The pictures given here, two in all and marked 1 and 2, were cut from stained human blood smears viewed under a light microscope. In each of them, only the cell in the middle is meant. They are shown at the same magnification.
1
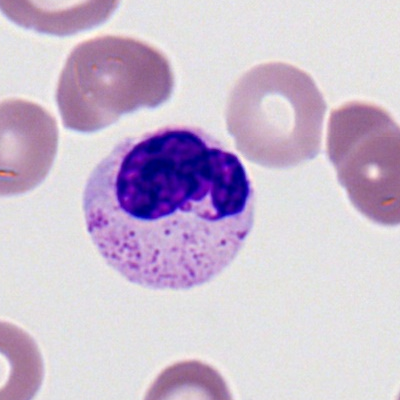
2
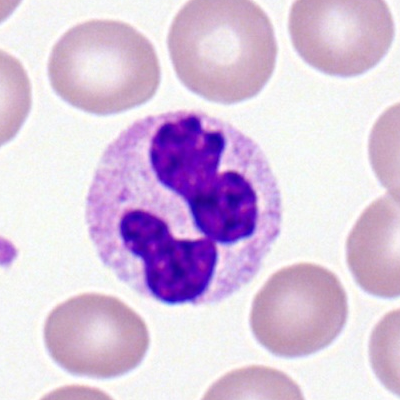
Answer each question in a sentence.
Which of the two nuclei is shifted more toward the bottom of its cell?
In picture 2 the nucleus is shifted more toward the bottom.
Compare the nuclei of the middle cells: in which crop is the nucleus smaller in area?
Picture 1 shows the smaller nucleus, since that in picture 2 covers about 1.5 times as much area.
